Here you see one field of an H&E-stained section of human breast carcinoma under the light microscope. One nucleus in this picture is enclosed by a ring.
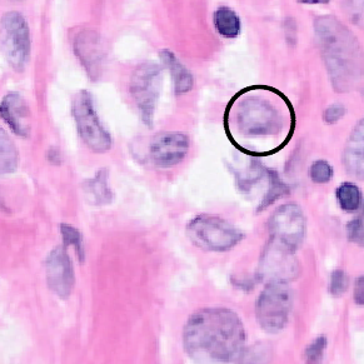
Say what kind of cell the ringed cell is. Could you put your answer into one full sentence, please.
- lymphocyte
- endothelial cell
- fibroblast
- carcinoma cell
Recorded by type, the ringed cell is a carcinoma cell.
